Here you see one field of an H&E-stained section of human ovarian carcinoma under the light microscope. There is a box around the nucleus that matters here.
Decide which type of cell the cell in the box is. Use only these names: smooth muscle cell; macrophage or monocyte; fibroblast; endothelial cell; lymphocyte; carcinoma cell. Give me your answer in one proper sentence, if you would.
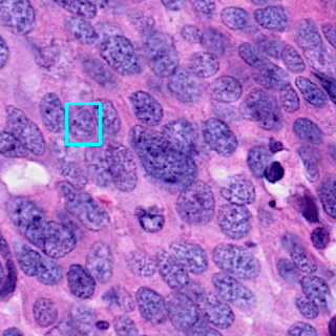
Recorded by type, the cell in the box is a carcinoma cell.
